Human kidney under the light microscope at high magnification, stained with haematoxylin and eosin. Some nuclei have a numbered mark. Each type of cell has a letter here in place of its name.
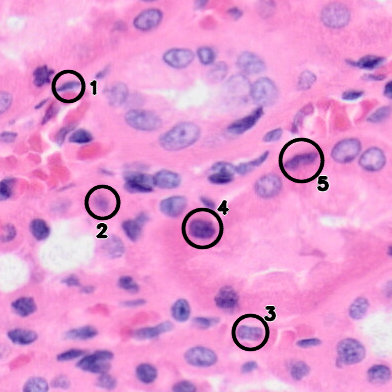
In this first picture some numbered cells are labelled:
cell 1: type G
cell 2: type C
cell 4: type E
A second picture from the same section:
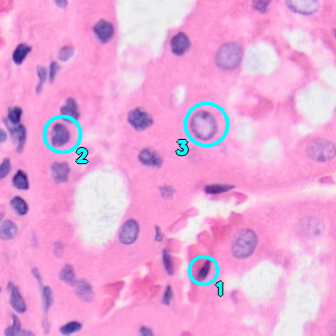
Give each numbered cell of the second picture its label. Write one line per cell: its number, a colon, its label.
1: type G
2: type C
3: type E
